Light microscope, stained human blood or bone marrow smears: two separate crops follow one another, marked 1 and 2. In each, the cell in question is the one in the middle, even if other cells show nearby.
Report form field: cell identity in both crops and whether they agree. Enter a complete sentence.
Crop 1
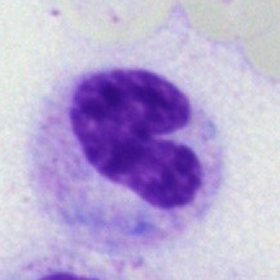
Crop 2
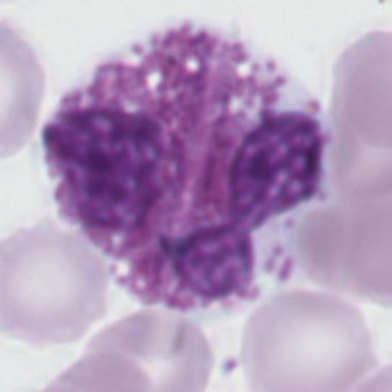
No, crop 1 is home to a band neutrophil, and crop 2 to an eosinophil.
